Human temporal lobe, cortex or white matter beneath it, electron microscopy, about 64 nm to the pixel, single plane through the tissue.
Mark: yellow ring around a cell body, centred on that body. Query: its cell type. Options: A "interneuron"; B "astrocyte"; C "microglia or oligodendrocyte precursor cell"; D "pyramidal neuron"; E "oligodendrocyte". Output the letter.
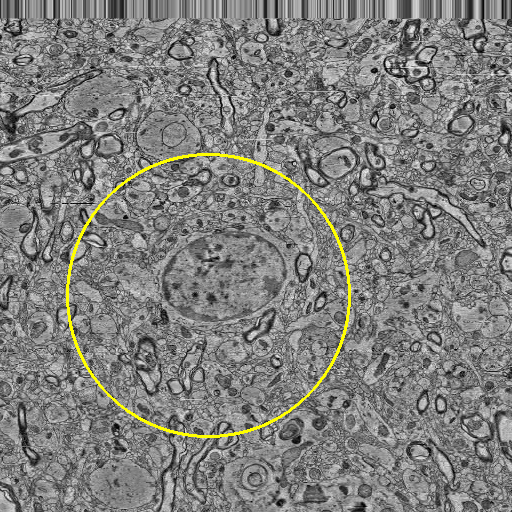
C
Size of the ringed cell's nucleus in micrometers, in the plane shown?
In this plane, the nucleus is roughly 8 by 6 micrometres.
